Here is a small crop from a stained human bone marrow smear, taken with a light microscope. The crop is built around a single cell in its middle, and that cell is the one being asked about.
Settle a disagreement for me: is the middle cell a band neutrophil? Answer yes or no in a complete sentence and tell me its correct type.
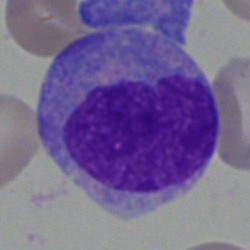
No, the central cell is classed as a monocyte, not a band neutrophil.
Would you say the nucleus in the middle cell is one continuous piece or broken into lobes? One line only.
The nucleus amounts to one compact mass with a round, oval or kidney-shaped outline.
